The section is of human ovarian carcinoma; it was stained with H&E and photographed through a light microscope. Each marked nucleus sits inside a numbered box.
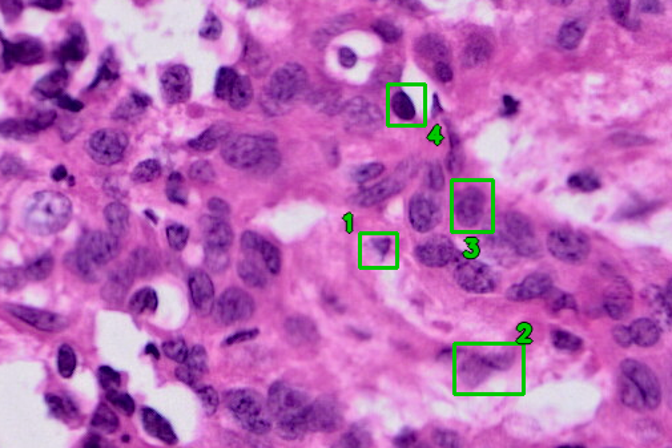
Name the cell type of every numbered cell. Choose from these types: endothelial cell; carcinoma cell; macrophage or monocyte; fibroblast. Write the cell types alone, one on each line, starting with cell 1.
macrophage or monocyte
fibroblast
carcinoma cell
carcinoma cell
